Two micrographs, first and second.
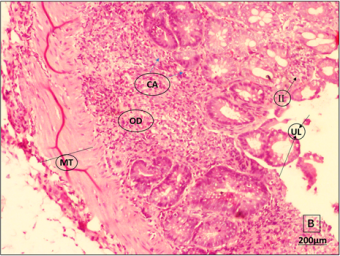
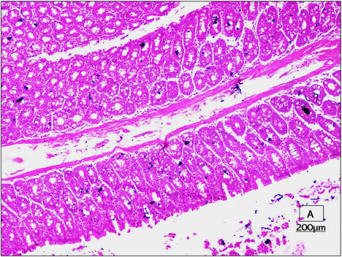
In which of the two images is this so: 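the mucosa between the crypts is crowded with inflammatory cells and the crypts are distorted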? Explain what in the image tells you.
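The first image. First image: dense infiltrate of small dark nuclei separating irregular, distorted crypts. Second image: regular, evenly spaced crypts with little cellular tissue between them.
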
